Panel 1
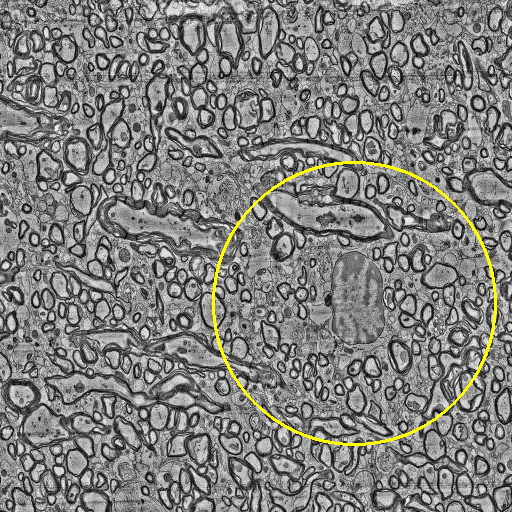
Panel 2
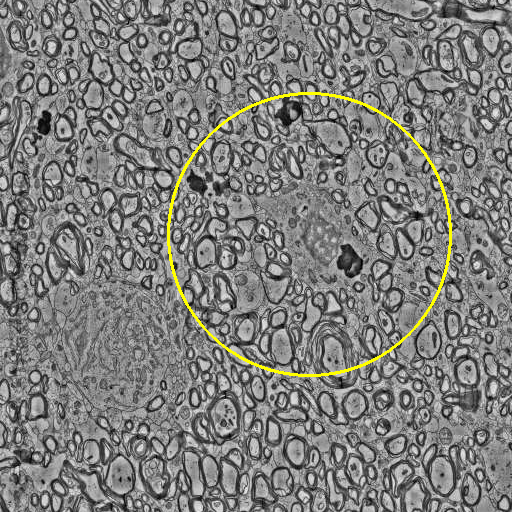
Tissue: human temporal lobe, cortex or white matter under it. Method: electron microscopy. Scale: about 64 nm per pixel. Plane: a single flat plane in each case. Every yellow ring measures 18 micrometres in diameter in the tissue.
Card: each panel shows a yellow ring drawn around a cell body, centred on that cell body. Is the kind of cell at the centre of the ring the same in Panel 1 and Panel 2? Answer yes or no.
no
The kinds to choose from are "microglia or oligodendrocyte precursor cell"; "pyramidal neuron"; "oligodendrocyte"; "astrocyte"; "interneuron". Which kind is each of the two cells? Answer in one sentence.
Of the two, the first cell is a microglial cell or oligodendrocyte precursor cell and the second cell is an oligodendrocyte.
